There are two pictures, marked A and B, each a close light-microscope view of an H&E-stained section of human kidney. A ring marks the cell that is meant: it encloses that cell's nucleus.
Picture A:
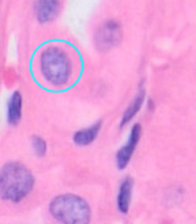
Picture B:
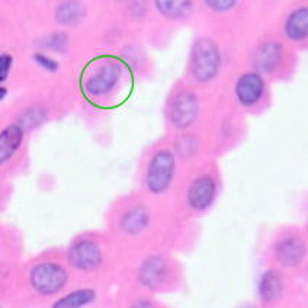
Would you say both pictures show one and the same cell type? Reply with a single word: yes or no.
yes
